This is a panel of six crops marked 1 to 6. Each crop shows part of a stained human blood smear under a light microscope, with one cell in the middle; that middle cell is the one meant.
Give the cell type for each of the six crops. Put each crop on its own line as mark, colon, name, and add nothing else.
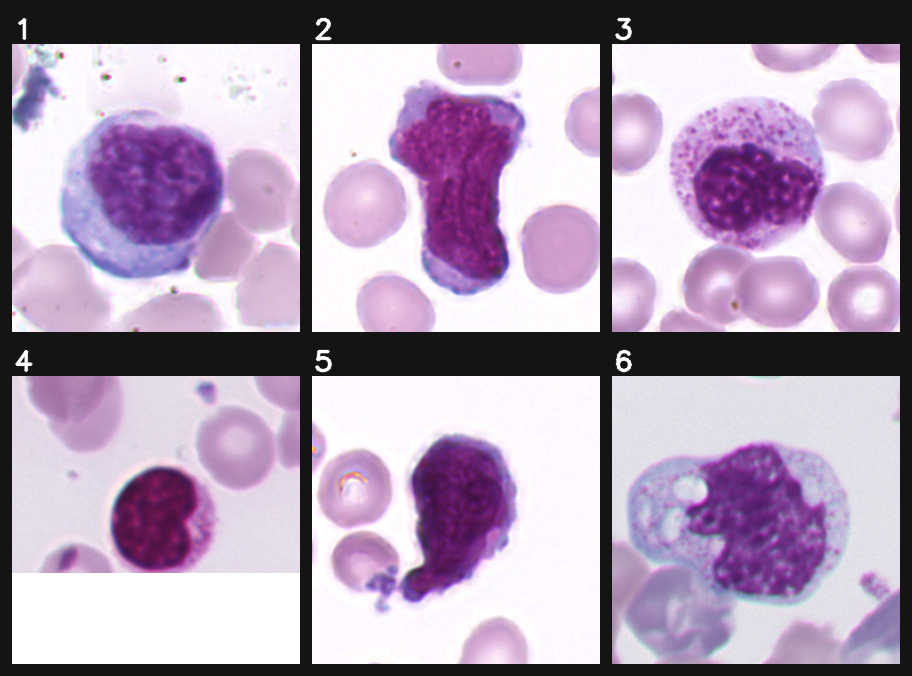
1: plasma cell
2: atypical promyelocyte
3: band neutrophil
4: large granular lymphocyte
5: atypical promyelocyte
6: monocyte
